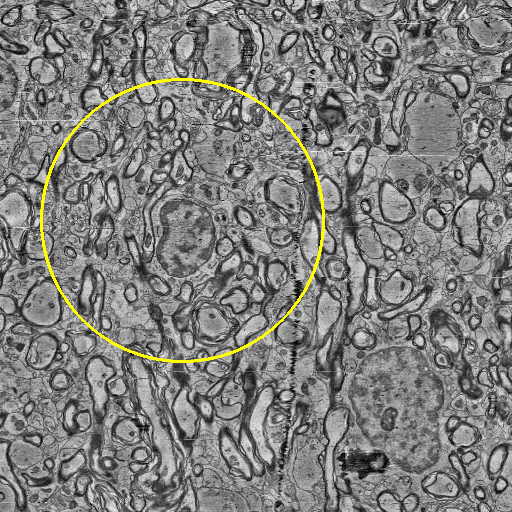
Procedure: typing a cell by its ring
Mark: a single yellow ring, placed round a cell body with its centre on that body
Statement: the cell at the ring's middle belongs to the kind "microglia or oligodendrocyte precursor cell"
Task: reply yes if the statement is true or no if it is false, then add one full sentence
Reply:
Yes, this is true: the cell at the ring's centre in the picture belongs to that kind.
